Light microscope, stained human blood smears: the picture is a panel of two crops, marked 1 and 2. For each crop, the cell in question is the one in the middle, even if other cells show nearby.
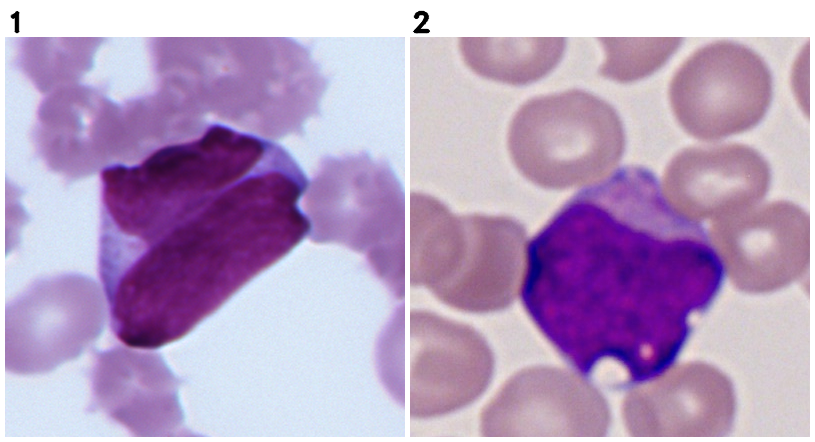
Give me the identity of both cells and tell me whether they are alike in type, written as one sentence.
Yes, blasts are depicted in both crops.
